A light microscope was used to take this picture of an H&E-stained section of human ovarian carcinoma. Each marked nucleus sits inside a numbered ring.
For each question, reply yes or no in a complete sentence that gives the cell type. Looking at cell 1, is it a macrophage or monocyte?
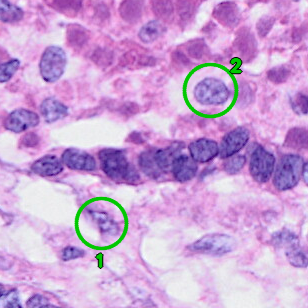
No, the cell identified by number 1 is a fibroblast, not a macrophage or monocyte.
